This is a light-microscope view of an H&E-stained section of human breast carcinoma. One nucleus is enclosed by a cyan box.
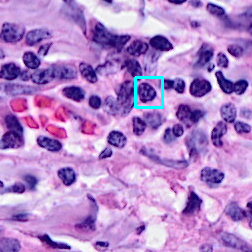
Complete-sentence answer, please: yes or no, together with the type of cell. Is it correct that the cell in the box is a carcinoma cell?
No, for the cell in the box the correct label is a lymphocyte and not a carcinoma cell.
